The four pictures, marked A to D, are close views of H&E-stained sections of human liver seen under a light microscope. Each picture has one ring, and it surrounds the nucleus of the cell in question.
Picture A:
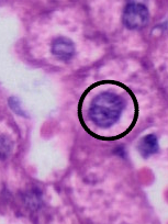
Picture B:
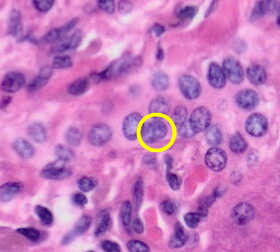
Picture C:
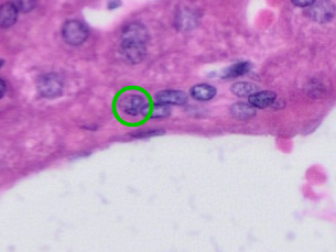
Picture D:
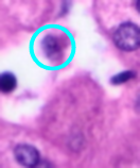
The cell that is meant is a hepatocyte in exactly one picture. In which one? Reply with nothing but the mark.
A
